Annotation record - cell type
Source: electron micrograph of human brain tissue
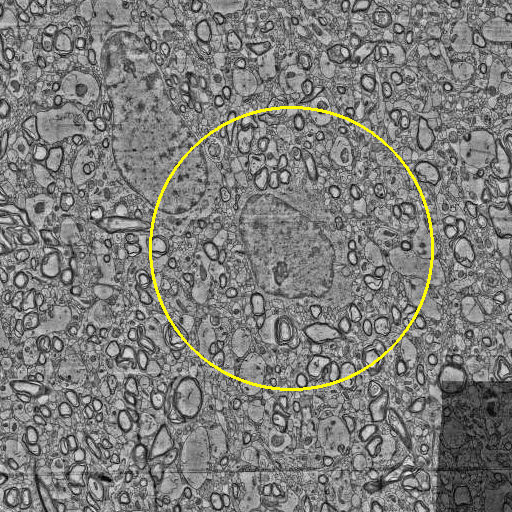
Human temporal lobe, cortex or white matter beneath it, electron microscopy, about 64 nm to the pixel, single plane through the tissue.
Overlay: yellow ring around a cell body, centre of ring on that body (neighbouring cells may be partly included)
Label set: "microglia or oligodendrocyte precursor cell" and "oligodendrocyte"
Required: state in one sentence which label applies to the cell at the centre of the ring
This cell should be labelled as an oligodendrocyte.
